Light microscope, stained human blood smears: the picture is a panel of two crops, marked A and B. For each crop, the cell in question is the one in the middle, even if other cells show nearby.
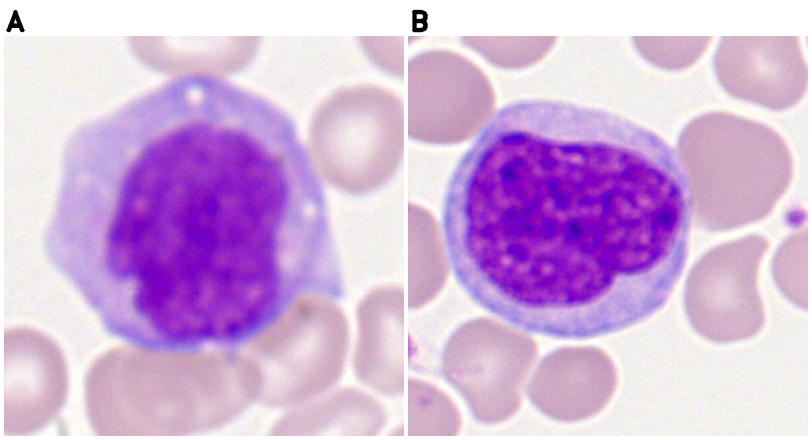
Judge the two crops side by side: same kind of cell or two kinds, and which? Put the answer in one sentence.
Yes, that holds, both crops show monocytes.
